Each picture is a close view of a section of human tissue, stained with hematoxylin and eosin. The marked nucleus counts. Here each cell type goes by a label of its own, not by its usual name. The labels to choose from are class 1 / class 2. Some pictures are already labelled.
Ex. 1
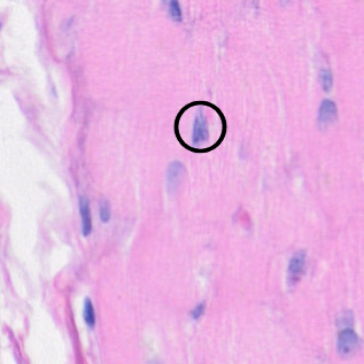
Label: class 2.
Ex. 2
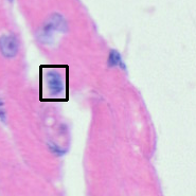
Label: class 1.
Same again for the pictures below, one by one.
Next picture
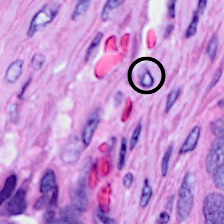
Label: class 1.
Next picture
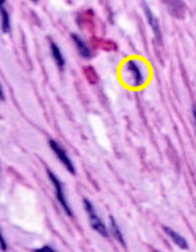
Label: class 1.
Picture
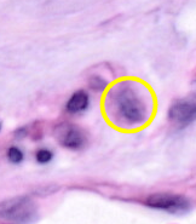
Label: class 2.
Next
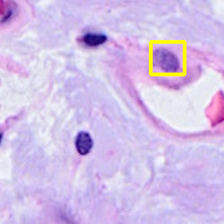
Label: class 2.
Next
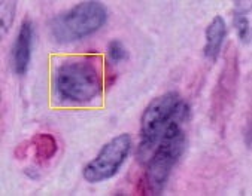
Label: class 2.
